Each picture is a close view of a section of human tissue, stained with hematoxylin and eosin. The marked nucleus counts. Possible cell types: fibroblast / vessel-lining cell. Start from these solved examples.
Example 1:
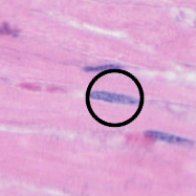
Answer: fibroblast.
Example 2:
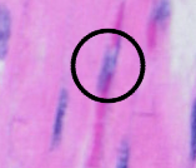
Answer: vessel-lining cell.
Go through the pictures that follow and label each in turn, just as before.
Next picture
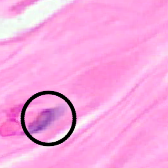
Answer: vessel-lining cell.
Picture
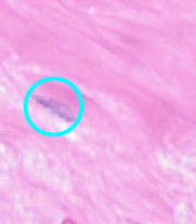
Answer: fibroblast.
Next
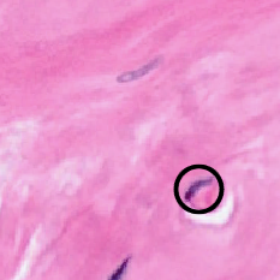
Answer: vessel-lining cell.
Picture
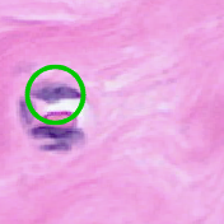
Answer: vessel-lining cell.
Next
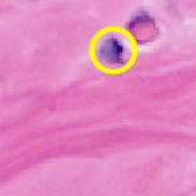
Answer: vessel-lining cell.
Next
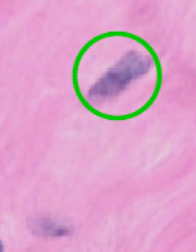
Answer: fibroblast.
